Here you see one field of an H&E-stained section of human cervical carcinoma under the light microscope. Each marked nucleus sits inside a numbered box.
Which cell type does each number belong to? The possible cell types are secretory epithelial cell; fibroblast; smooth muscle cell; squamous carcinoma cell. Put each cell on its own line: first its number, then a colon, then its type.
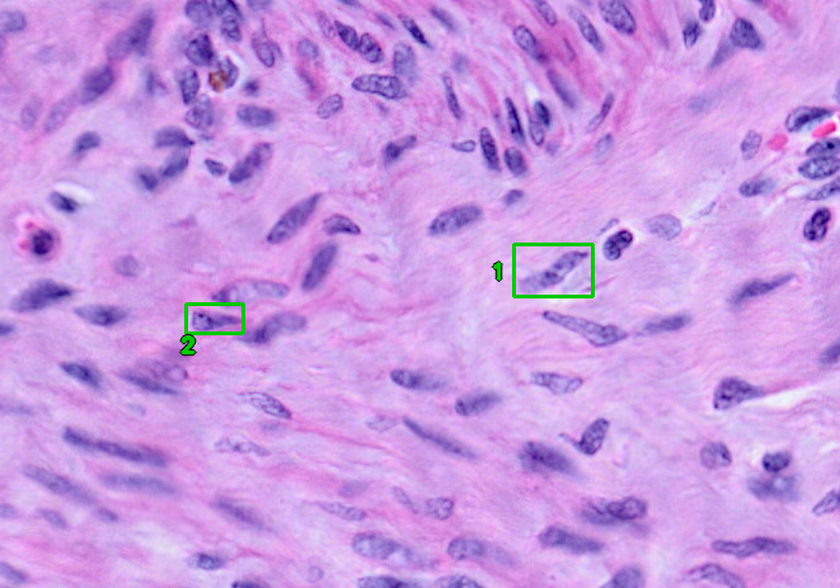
1: fibroblast
2: smooth muscle cell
